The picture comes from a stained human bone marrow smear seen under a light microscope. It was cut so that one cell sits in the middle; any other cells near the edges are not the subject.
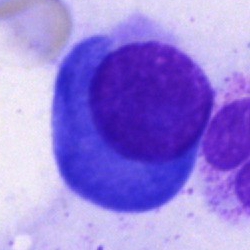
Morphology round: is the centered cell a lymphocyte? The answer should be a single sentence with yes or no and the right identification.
No, at the middle of the crop is a plasma cell, not a lymphocyte.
